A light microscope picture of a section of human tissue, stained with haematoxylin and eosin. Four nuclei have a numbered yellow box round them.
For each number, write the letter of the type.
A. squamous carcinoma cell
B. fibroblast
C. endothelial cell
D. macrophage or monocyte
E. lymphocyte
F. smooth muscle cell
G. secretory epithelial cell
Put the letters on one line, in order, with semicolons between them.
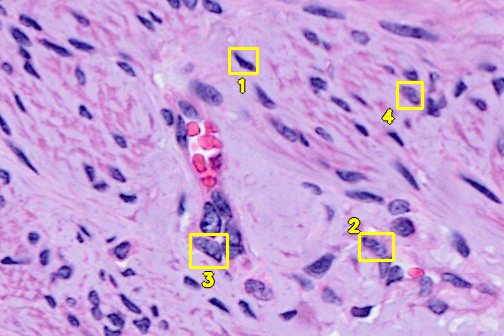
B; C; C; F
